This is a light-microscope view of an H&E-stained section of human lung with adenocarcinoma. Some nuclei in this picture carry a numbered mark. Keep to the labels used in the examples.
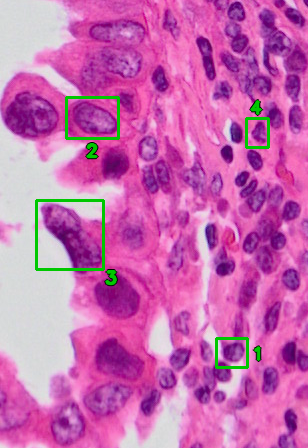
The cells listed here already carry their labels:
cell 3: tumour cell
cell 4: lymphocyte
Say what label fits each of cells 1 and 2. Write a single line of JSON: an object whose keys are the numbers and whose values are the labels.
{"1": "lymphocyte", "2": "tumour cell"}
